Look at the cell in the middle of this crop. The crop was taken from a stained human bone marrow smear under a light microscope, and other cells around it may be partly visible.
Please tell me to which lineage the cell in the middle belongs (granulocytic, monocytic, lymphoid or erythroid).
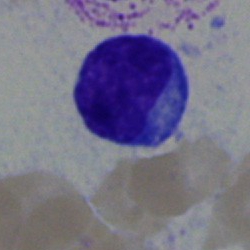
lymphoid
